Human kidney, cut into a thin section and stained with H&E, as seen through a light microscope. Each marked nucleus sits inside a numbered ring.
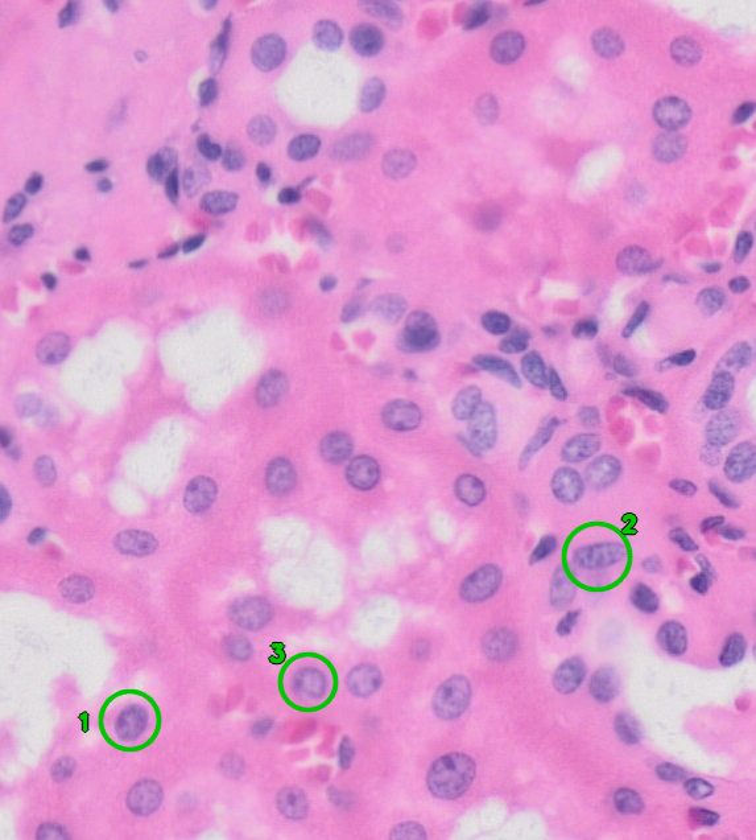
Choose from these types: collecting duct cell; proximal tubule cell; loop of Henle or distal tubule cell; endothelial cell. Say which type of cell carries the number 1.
proximal tubule cell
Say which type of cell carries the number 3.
proximal tubule cell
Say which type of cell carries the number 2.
collecting duct cell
